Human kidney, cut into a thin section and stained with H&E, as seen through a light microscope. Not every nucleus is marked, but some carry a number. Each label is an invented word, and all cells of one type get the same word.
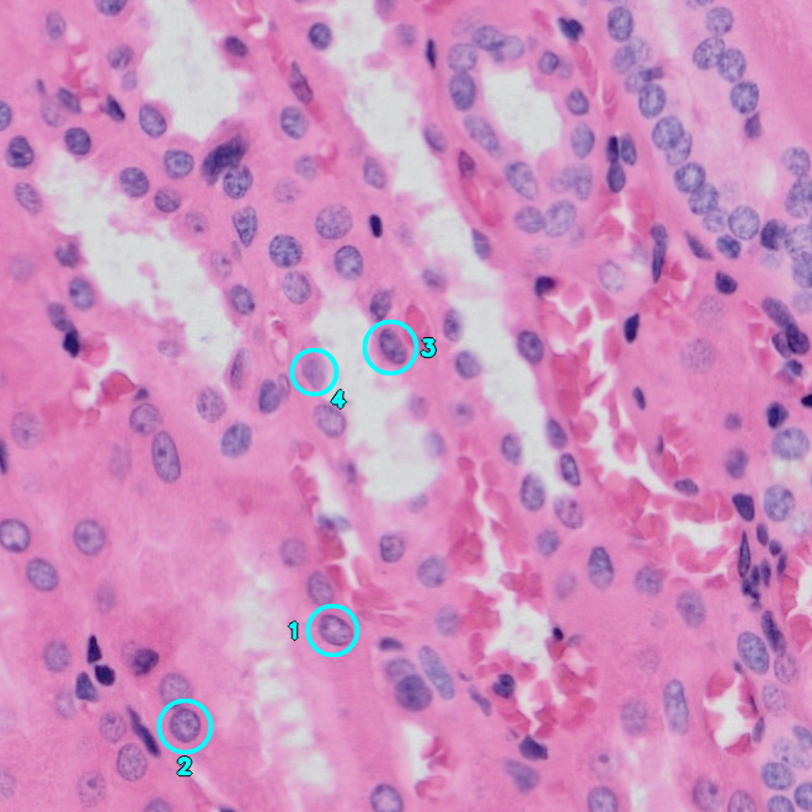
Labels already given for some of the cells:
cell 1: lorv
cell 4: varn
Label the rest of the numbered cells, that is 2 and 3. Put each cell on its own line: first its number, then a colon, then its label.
2: lorv
3: varn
